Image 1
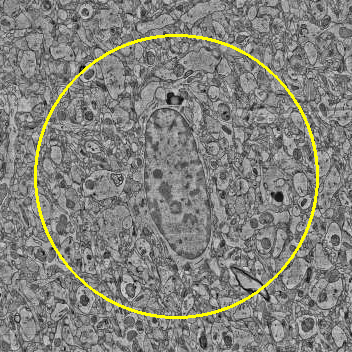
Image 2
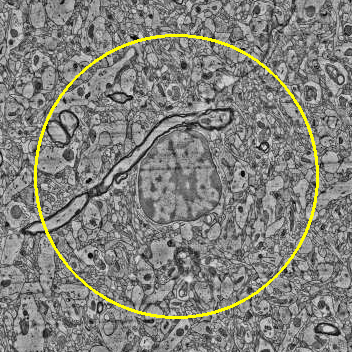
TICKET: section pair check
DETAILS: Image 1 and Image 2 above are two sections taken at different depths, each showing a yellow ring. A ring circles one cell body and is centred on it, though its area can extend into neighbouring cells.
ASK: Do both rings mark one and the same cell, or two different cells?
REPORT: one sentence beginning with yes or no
No, two distinct cells are each enclosed by a yellow ring.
